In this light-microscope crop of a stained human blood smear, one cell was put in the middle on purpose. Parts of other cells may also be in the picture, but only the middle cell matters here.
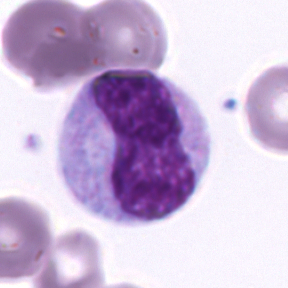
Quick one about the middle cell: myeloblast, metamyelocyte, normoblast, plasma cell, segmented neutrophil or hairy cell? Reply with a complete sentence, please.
The cell of interest, in the center, is a metamyelocyte.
